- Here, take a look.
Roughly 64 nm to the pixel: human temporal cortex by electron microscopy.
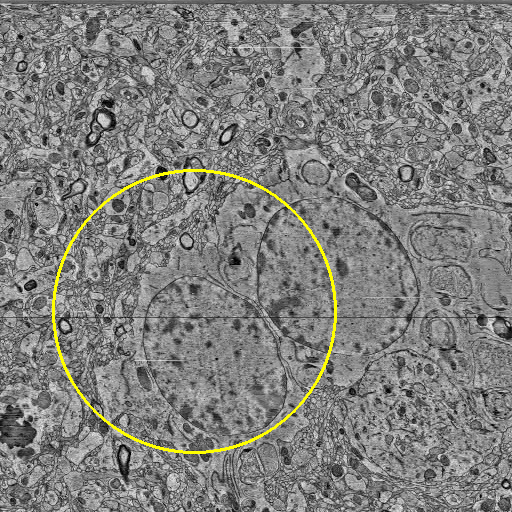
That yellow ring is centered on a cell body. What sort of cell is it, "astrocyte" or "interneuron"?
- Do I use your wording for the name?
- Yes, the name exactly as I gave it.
astrocyte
